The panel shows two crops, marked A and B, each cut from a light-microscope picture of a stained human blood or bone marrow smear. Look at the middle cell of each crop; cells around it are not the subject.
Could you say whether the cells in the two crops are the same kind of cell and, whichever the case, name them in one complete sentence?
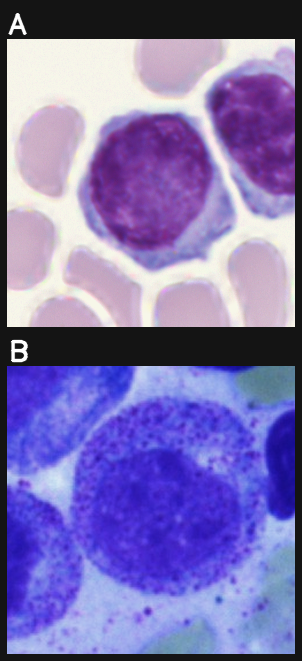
No, in crop A there is a plasma cell, and in crop B there is a myelocyte.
